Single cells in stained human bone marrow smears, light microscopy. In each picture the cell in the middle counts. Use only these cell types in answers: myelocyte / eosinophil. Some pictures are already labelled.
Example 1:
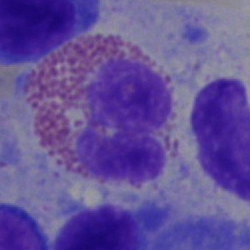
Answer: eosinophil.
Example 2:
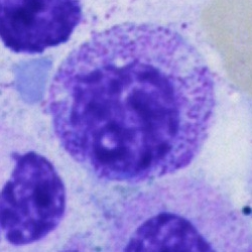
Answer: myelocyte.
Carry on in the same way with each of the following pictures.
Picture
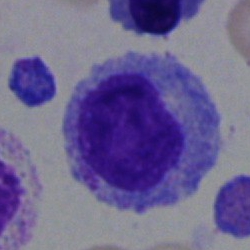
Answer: myelocyte.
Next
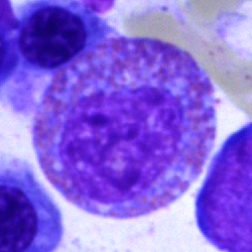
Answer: myelocyte.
